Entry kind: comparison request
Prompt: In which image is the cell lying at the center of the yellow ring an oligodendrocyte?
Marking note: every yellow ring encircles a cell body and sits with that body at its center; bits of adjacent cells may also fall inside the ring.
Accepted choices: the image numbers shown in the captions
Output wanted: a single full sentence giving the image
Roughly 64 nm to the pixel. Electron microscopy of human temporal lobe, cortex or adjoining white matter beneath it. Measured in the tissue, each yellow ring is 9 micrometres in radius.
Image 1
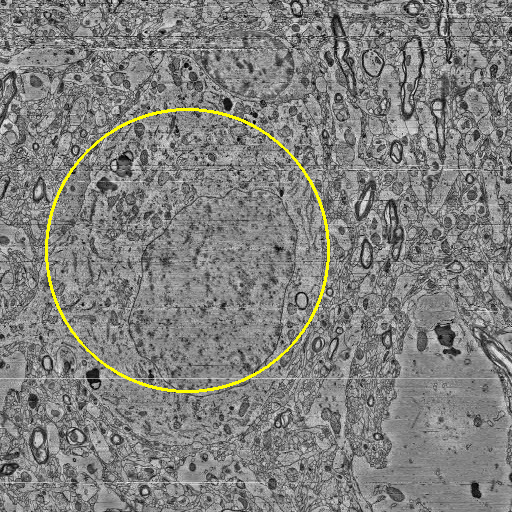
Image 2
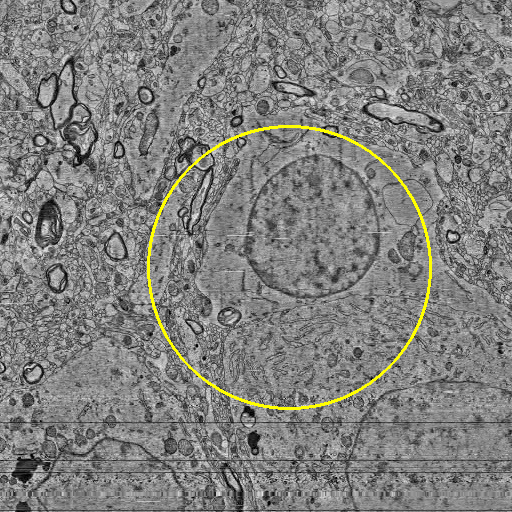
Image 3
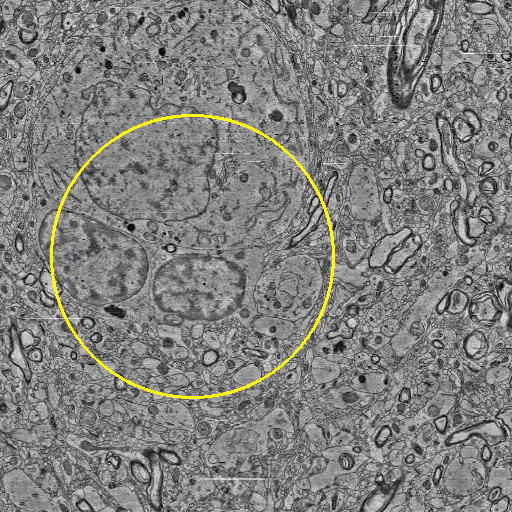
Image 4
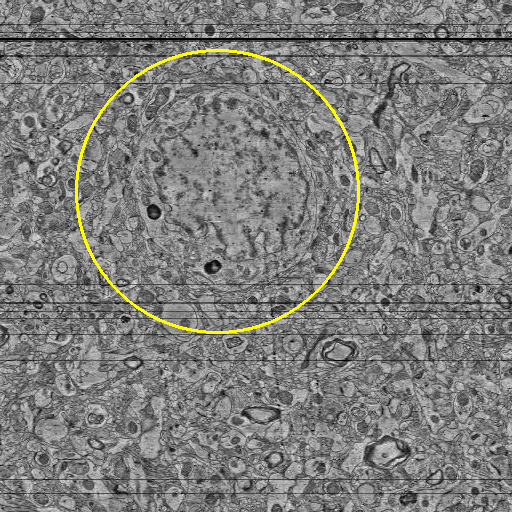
In image 3, the ringed cell at the center matches the prompt.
